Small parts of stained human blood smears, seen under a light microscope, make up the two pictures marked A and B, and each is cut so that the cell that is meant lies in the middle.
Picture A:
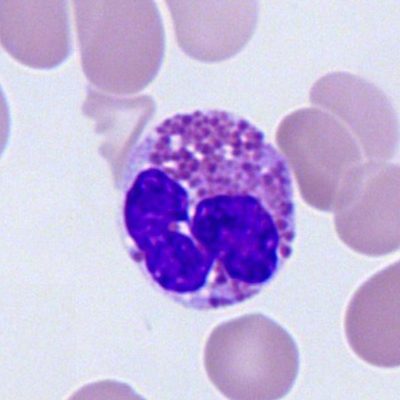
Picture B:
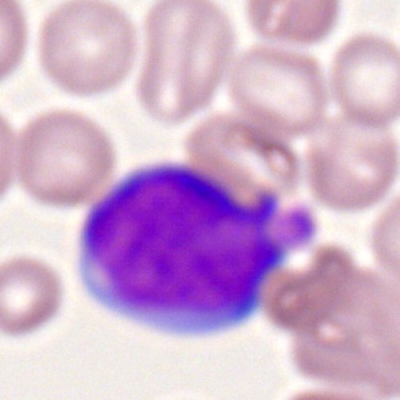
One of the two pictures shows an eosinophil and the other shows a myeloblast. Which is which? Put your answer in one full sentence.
Picture A is of an eosinophil, and picture B is of a myeloblast.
